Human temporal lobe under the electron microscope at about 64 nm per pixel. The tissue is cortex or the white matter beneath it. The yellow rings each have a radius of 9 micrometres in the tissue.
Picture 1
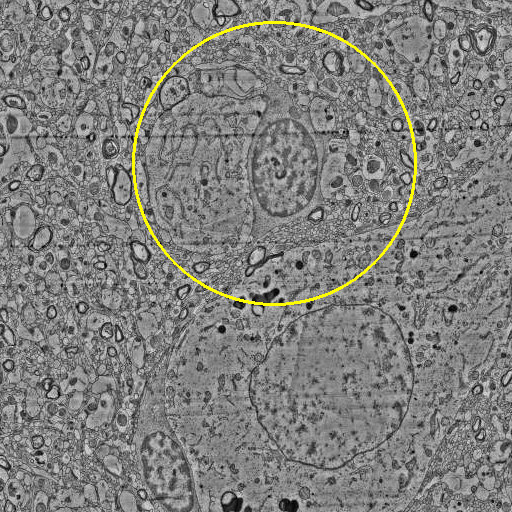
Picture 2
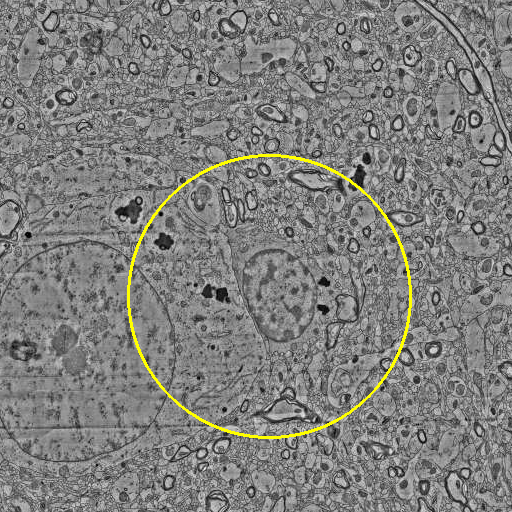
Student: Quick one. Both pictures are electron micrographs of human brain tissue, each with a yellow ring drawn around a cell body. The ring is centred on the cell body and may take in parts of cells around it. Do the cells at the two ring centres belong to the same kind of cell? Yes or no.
yes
